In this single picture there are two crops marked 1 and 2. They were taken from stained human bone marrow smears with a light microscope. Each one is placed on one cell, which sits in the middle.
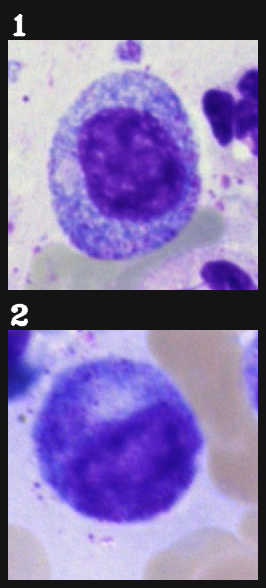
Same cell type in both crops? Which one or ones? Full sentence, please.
Yes, the cells under consideration in both crops are promyelocytes.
